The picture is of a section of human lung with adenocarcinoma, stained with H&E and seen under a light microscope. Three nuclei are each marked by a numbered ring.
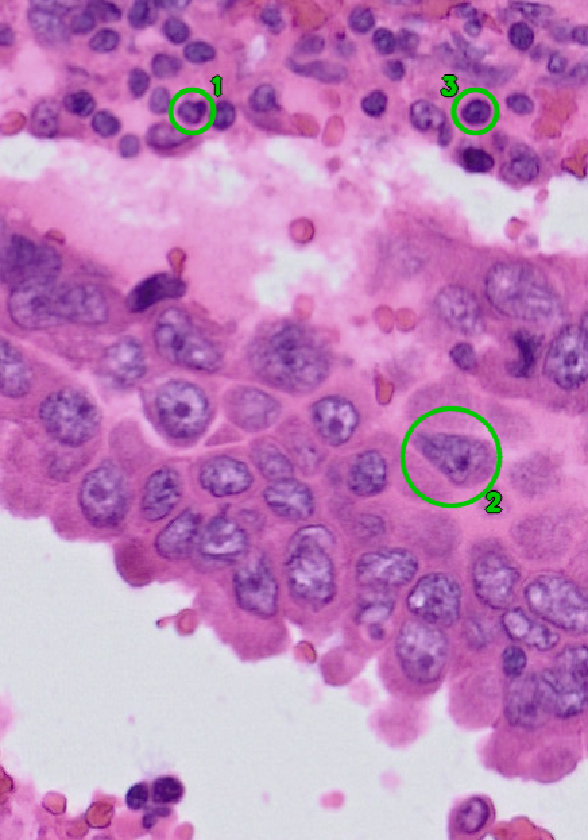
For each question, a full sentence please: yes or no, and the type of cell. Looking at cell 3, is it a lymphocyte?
Yes, number 3 in this section denotes a lymphocyte.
